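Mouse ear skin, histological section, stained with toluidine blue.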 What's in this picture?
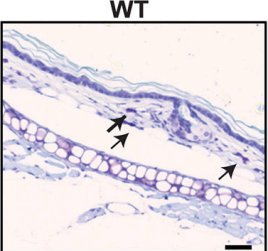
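At the top lies the epidermis, a thin, darkly blue layer with a paler layer of keratin above it. Below it is loose connective tissue of the dermis with scattered nuclei. Here, the mast cells stand out as small oval cells stained a deeper purple than their surroundings. Lower down runs the central plate of cartilage, with rows of large, pale, rounded chondrocyte spaces framed by purple-staining matrix, and more loose tissue beneath it.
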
